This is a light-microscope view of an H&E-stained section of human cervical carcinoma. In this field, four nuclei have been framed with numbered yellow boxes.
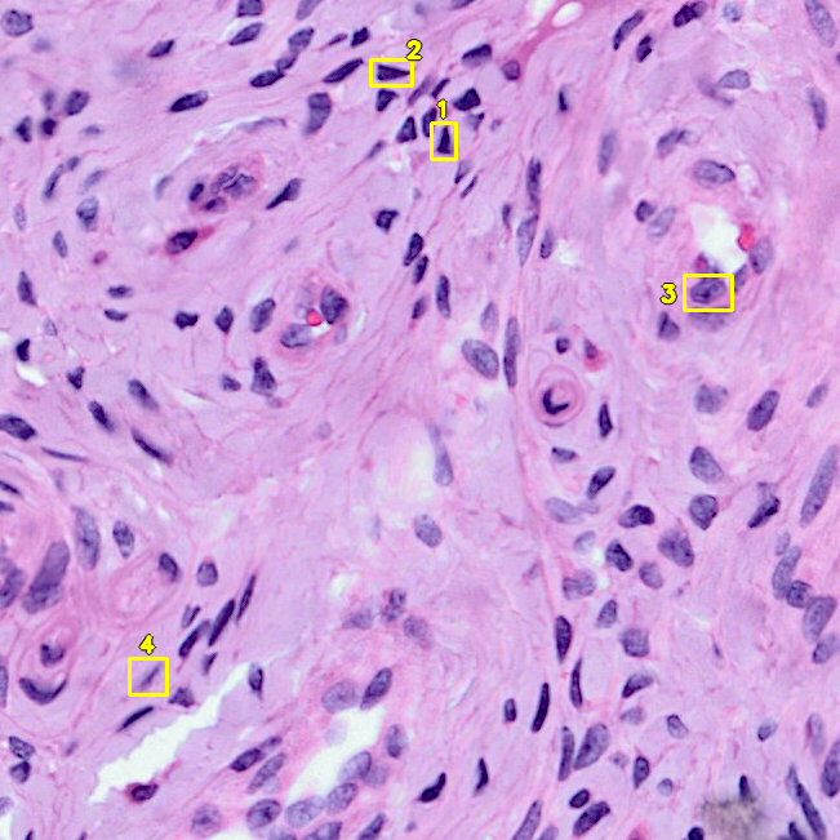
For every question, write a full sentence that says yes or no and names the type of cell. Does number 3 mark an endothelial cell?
Yes, number 3 corresponds to an endothelial cell.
